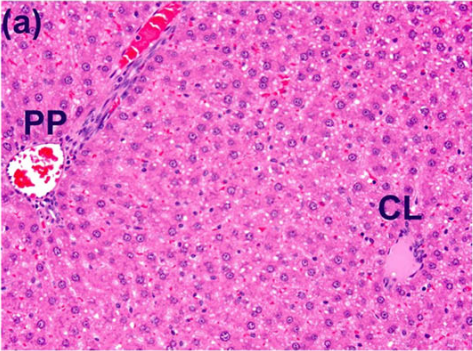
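Liver tissue shows cords of hepatocytes with pink, finely granular cytoplasm and round nuclei, lying between a portal area with a blood-filled vessel and a small central vein. The sinusoids are narrow and hold few red cells, and the hepatocytes look alike across the lobule. This is liver parenchyma without visible damage.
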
